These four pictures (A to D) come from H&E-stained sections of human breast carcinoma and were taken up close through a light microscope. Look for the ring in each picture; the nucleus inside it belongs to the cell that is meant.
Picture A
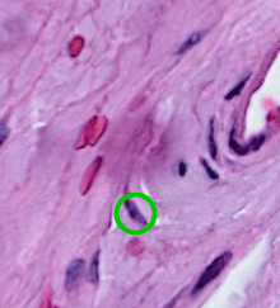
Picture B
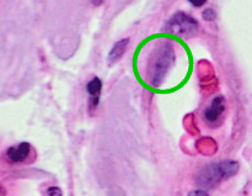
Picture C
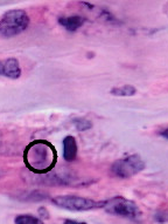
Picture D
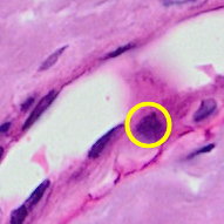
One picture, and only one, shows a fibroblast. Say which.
A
